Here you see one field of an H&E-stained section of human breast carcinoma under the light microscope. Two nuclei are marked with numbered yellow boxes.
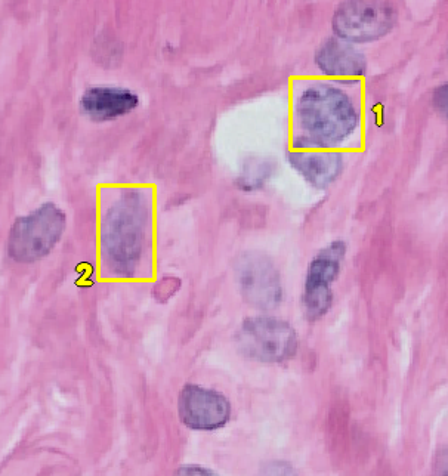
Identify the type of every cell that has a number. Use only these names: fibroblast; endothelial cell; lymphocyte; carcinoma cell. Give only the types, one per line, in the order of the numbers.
carcinoma cell
fibroblast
